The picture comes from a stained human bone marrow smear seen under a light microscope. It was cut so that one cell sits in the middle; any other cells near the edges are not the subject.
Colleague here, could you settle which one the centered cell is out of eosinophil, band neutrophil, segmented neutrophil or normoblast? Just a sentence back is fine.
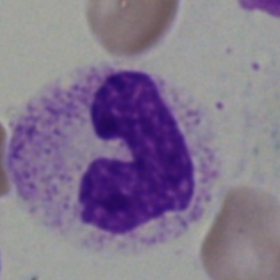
In the crop, the cell of interest at the centre is a band neutrophil.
